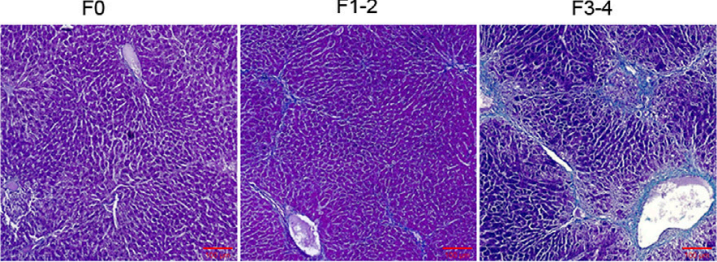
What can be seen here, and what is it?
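Three low-magnification sections of liver stained purple show plates of hepatocytes arranged in cords separated by narrow sinusoidal spaces, with scattered vessels cut in cross-section. In the right image, broader blue fibrous bands bridge between vessels and partly subdivide the parenchyma, with a thick blue collar around a large vessel.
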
